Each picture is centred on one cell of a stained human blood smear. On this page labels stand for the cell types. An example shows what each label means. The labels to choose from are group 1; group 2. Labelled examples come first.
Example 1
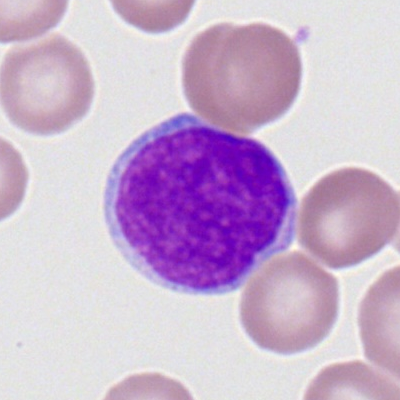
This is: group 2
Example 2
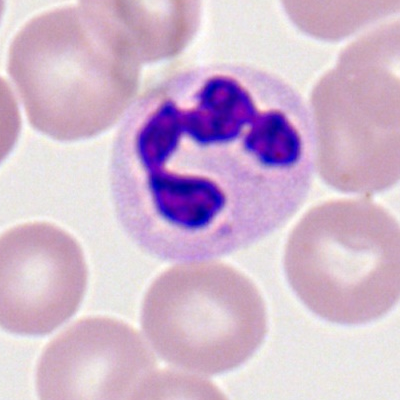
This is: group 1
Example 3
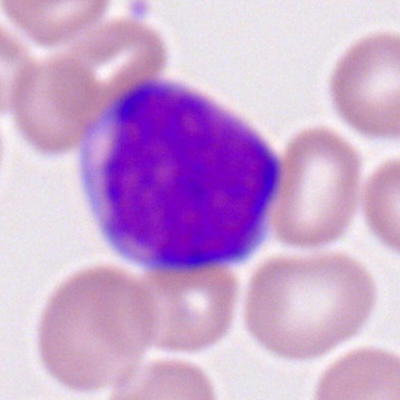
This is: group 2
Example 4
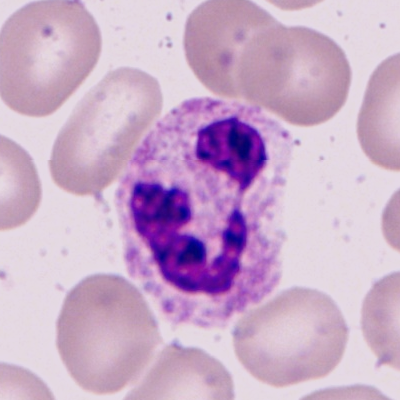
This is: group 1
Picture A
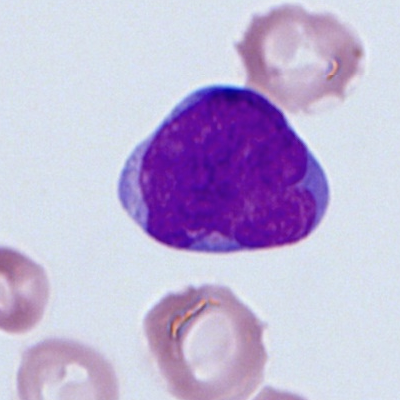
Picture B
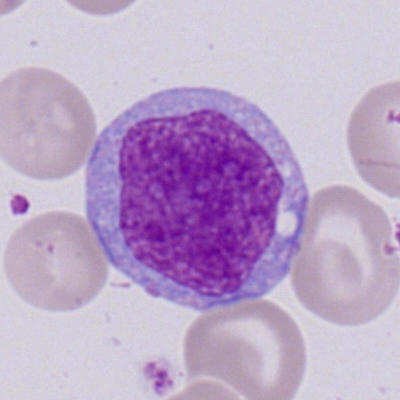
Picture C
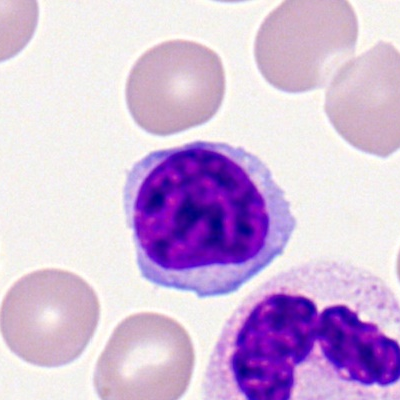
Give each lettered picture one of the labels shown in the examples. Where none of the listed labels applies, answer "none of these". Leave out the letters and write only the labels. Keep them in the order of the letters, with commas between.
group 2, group 2, none of these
